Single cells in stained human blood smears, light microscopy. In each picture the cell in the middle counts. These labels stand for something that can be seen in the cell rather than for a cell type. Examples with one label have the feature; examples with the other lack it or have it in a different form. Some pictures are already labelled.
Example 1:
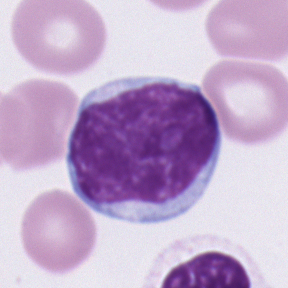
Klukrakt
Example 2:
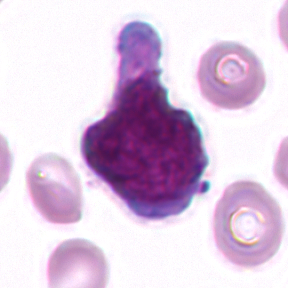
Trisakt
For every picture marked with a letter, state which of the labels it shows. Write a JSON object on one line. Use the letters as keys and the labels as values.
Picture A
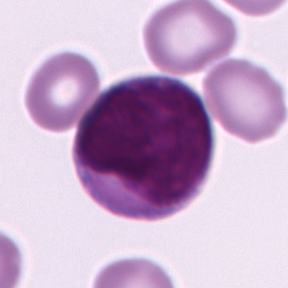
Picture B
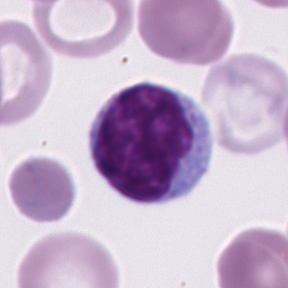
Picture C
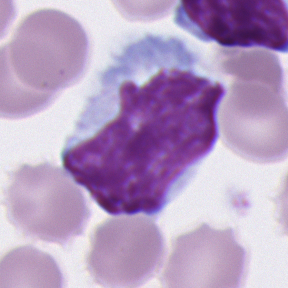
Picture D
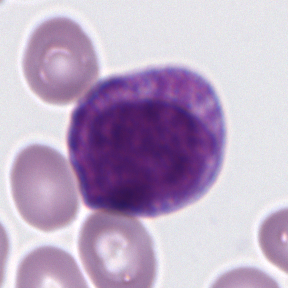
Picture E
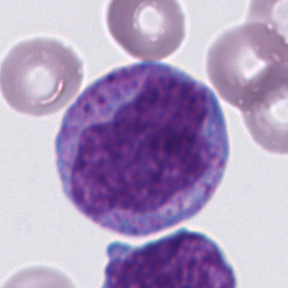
{"A": "Klukrakt", "B": "Klukrakt", "C": "Trisakt", "D": "Klukrakt", "E": "Klukrakt"}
